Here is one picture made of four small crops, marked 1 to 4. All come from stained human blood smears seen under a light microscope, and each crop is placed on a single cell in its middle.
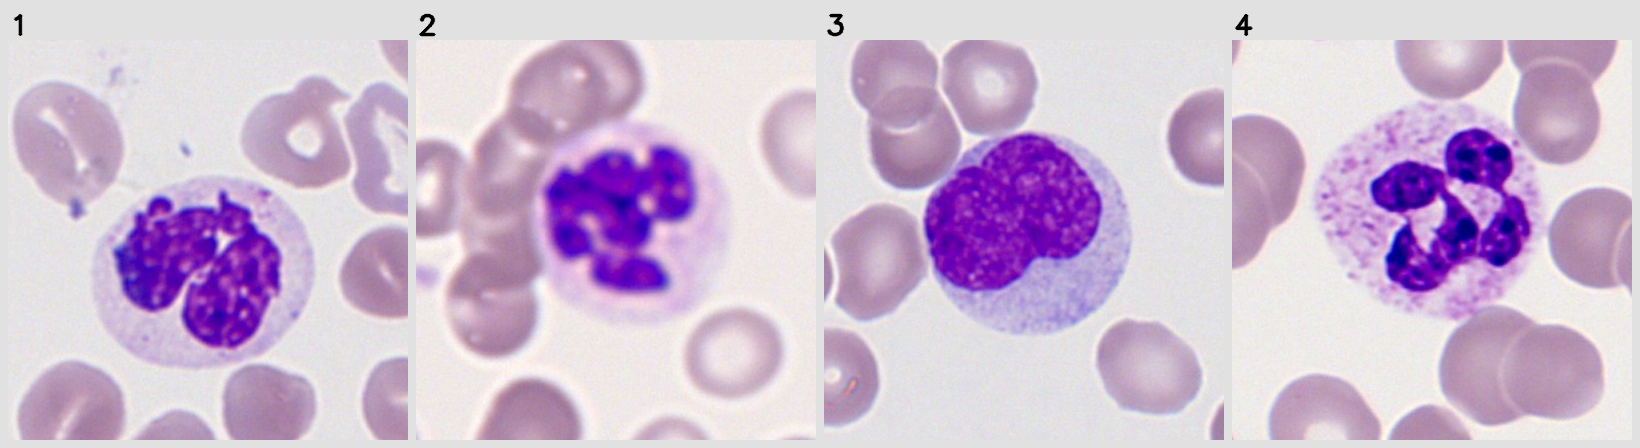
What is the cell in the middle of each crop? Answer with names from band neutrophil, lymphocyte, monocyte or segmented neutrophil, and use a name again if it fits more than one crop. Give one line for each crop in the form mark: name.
1: segmented neutrophil
2: segmented neutrophil
3: monocyte
4: segmented neutrophil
